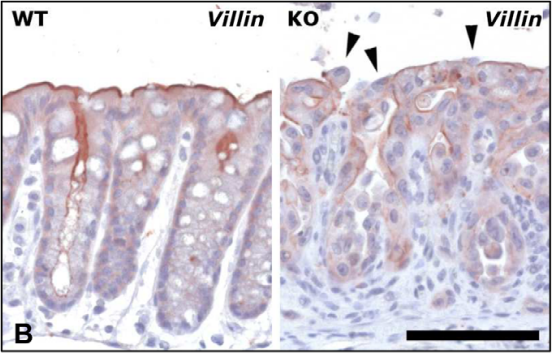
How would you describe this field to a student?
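Colonic mucosa with tubular crypts opening onto a flat surface epithelium, the surface cells edged in brown and the crypts holding many pale mucous vacuoles on the left. On the right the crypts are crowded and disorganized, pale vacuoles are largely absent, the brown stain is fainter and patchy, and rounded cells protrude from and detach off the surface lining.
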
